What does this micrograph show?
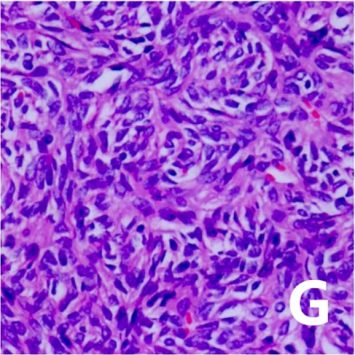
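This is a cellular spindle cell tumor made of tumor cells with scant pale pink cytoplasm and oval to elongated purple nuclei. The cells are closely packed in short, haphazard fascicles. The nucleoli are inconspicuous and a few small red blood cells lie among the cells.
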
